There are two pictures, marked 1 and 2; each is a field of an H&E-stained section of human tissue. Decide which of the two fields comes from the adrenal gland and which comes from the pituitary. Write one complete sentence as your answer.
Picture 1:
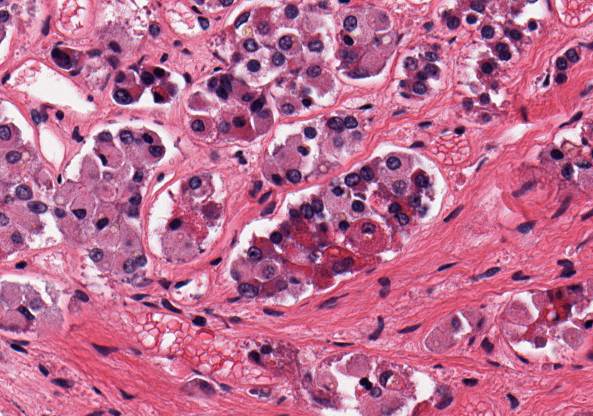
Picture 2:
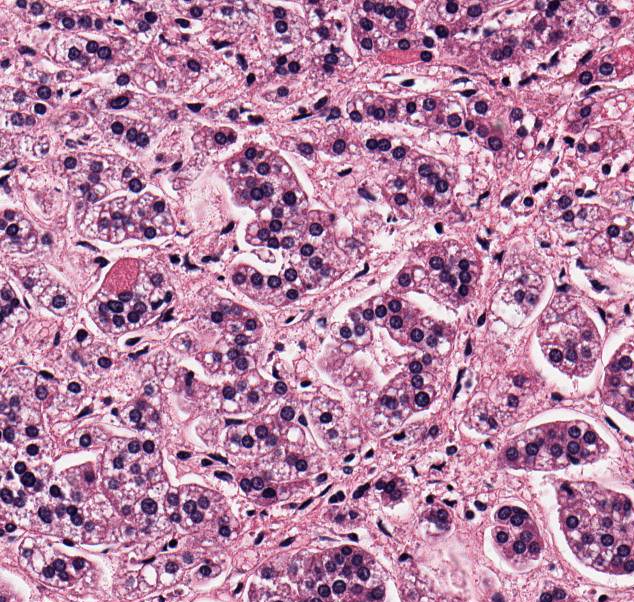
Picture 1 comes from the pituitary; picture 2 comes from the adrenal gland.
